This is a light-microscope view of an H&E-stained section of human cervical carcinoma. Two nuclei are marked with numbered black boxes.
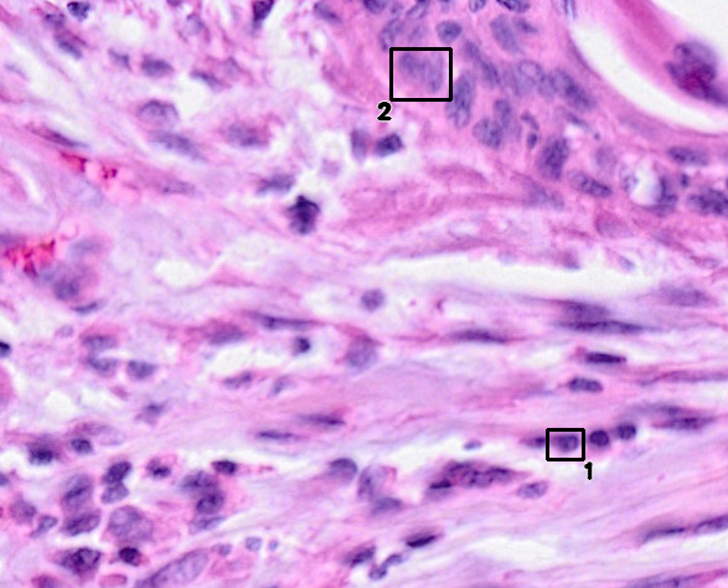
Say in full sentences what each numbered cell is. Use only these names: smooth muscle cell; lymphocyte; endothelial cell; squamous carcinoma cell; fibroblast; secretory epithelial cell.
Cell 1 is a lymphocyte and cell 2 is a squamous carcinoma cell.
